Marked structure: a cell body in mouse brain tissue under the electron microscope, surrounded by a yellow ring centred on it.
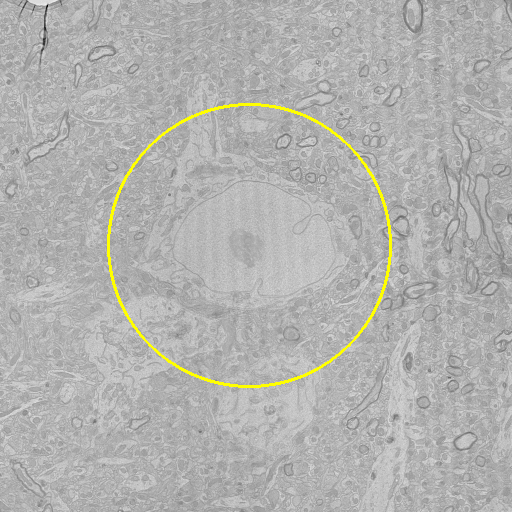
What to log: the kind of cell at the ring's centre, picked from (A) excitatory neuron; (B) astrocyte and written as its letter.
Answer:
A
